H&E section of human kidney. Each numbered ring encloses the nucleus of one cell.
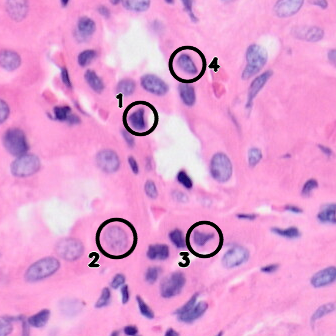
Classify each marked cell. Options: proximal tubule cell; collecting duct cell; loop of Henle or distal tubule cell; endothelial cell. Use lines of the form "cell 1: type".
cell 1: collecting duct cell
cell 2: proximal tubule cell
cell 3: collecting duct cell
cell 4: collecting duct cell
